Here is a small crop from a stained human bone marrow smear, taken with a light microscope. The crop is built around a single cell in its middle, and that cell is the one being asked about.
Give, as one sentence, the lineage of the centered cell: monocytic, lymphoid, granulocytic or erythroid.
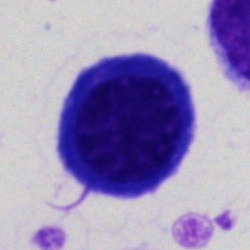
The cell at the center of this crop is of erythroid lineage.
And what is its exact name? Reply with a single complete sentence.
At the center of the crop sits an erythroblast.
